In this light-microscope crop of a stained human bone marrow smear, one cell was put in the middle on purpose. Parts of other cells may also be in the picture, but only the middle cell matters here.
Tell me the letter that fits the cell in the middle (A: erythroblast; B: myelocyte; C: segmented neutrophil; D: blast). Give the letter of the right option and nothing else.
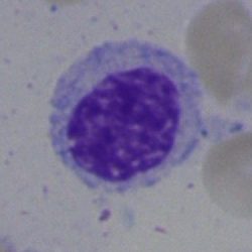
B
